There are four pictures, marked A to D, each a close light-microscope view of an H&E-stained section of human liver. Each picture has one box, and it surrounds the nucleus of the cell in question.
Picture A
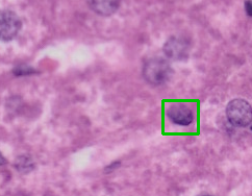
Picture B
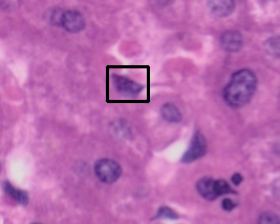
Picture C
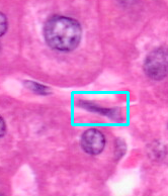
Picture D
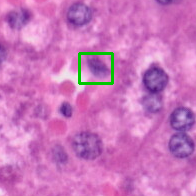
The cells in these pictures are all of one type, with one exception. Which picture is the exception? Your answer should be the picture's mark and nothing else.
C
